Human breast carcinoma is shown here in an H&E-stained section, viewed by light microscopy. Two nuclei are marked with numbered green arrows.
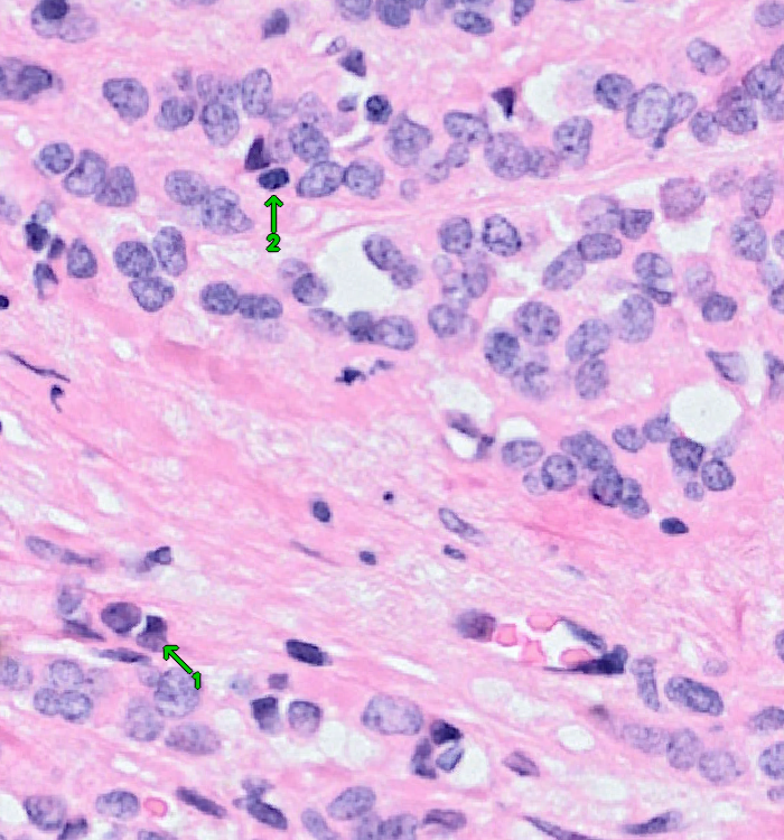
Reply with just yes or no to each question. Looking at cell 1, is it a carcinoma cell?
yes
